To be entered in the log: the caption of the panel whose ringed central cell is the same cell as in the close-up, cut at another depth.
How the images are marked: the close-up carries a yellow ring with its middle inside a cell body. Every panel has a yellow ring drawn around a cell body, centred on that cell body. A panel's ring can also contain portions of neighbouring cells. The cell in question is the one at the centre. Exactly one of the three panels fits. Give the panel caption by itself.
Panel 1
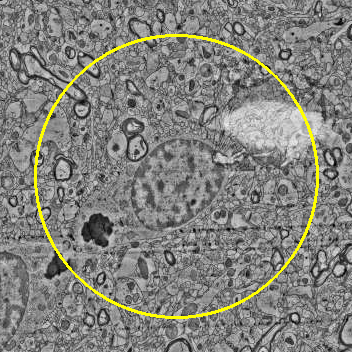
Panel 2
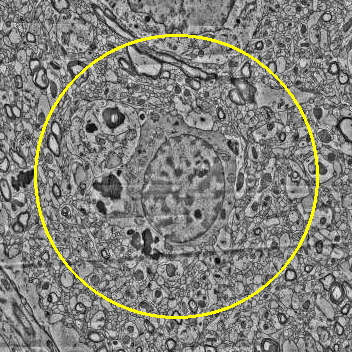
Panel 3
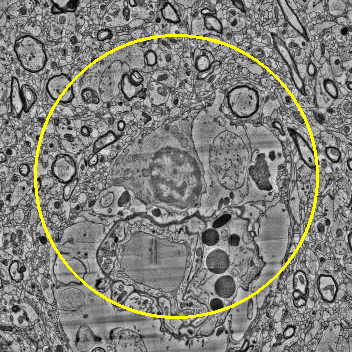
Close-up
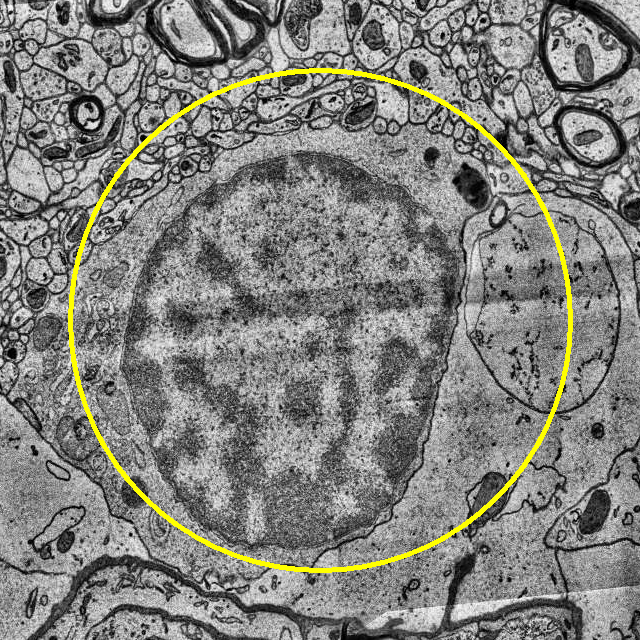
Panel 3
